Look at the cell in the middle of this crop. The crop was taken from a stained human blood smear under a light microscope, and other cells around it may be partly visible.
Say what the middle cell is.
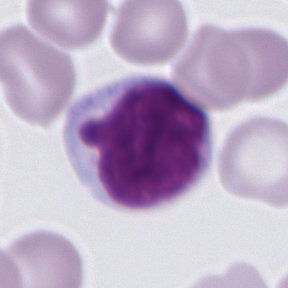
large granular lymphocyte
